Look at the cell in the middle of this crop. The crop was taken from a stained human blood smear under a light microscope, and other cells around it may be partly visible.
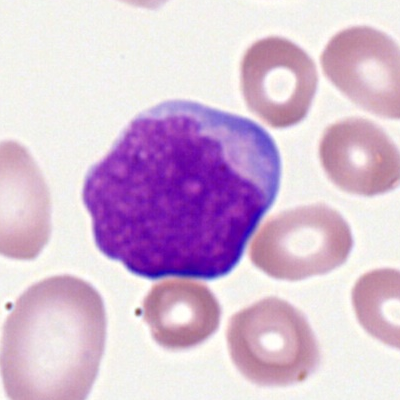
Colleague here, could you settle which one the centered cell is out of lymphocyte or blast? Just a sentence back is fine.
The cell of interest, located centrally, is a blast.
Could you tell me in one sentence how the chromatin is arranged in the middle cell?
The chromatin is fine, with no coarse clumping anywhere.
